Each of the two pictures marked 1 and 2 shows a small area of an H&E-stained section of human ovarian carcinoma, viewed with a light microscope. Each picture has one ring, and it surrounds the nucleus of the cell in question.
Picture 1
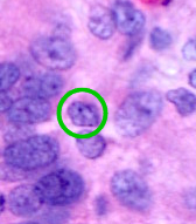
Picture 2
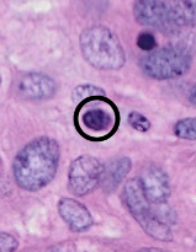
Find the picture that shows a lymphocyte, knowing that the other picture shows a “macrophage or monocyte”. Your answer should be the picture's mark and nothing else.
2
